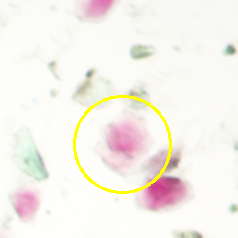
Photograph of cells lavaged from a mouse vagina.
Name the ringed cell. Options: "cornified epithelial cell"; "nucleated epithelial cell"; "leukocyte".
nucleated epithelial cell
